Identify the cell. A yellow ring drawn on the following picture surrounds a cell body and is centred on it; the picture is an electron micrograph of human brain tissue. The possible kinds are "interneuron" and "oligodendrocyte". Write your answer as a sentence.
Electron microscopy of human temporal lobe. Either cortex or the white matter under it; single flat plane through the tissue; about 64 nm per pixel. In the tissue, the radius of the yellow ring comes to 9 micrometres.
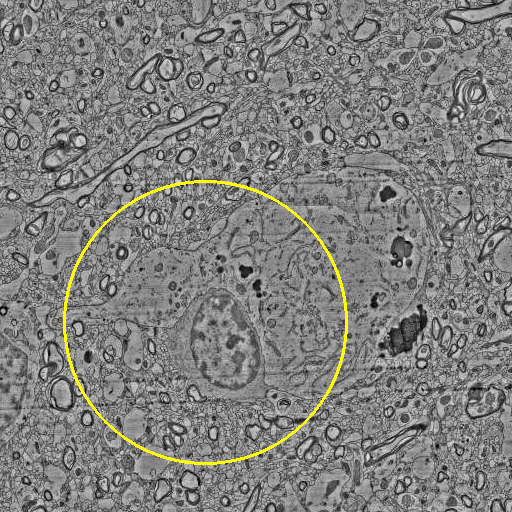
The cell identified by the ring is an oligodendrocyte.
